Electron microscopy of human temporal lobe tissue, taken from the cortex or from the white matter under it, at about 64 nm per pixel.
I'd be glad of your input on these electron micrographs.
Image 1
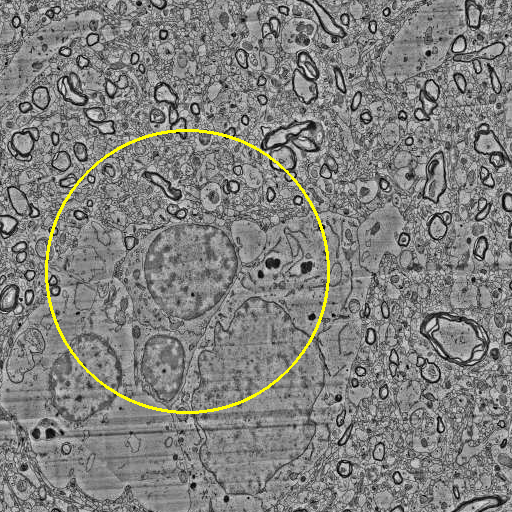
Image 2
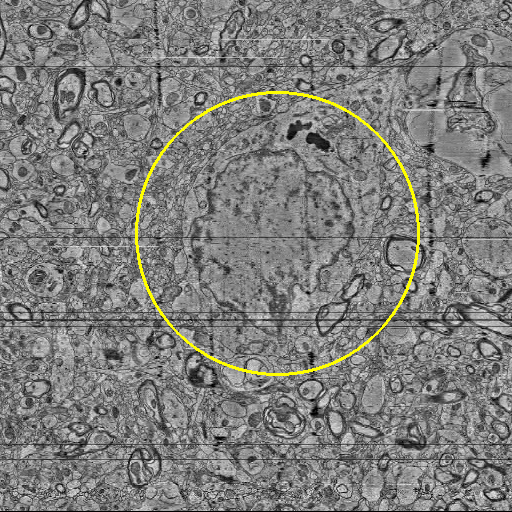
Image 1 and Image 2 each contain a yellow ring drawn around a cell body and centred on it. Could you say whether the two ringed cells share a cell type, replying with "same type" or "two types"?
two types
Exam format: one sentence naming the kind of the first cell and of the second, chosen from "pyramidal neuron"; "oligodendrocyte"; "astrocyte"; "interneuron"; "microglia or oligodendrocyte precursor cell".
The first picture's cell is an oligodendrocyte, and the second picture's cell is an interneuron.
